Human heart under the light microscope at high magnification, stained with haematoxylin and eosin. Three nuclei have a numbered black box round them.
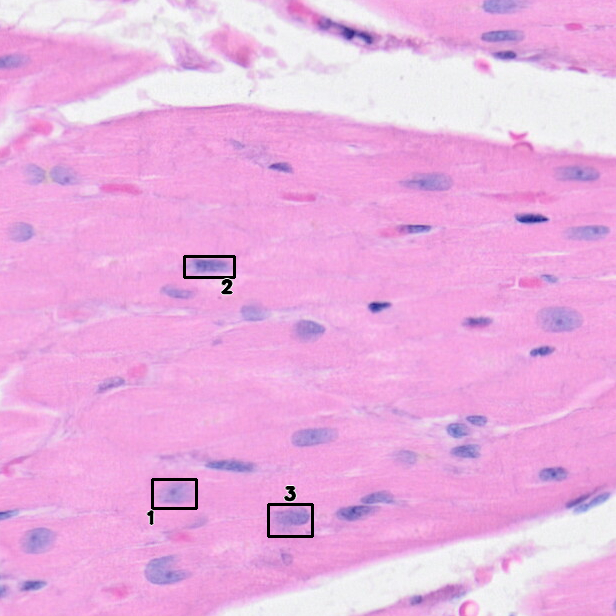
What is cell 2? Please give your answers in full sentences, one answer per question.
In this section, number 2 marks an endothelial cell.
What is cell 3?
The one labeled 3 is a cardiomyocyte, to put it simply.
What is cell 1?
The cell numbered 1 represents a cardiomyocyte.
